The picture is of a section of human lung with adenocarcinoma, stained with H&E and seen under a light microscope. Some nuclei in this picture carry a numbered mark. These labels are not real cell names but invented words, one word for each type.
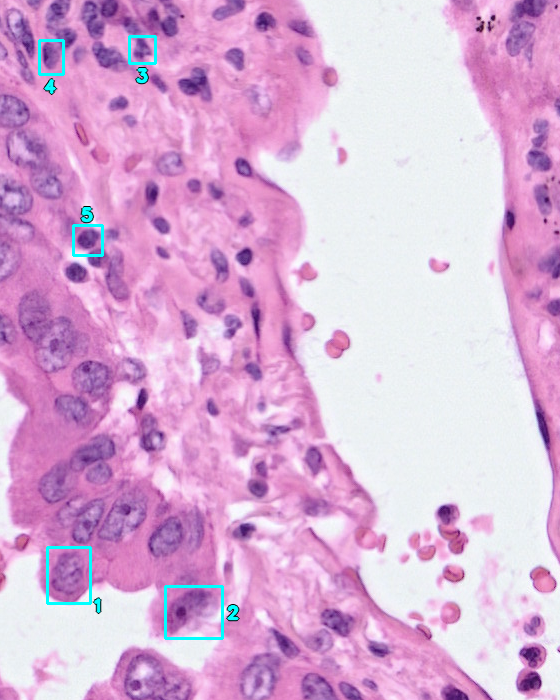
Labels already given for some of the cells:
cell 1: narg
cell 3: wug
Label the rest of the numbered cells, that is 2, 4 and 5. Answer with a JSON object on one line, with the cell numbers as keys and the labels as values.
{"2": "narg", "4": "wug", "5": "wug"}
